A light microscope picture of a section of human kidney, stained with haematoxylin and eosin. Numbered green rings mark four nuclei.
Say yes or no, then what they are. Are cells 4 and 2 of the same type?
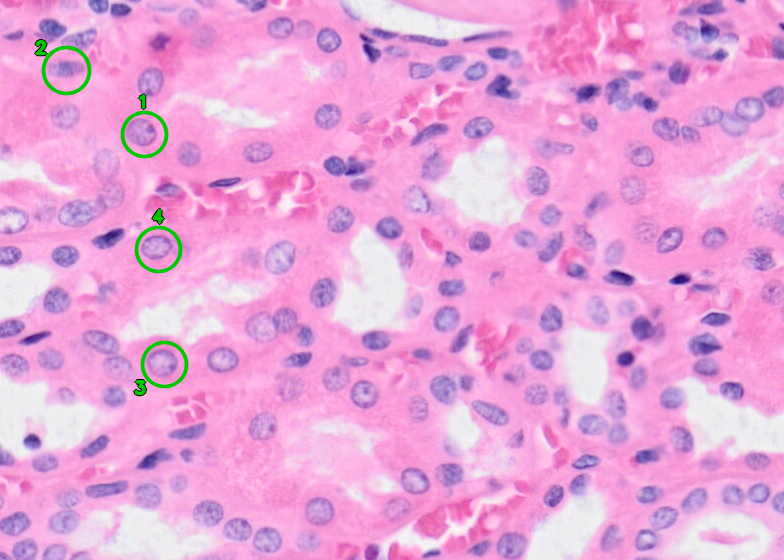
No, cell 2 is an endothelial cell, but cell 4 is a proximal tubule cell.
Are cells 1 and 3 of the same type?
Yes, among the marked cells, numbers 1 and 3 are both proximal tubule cells.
